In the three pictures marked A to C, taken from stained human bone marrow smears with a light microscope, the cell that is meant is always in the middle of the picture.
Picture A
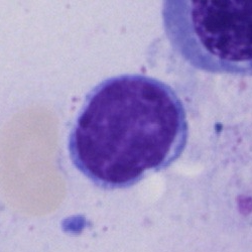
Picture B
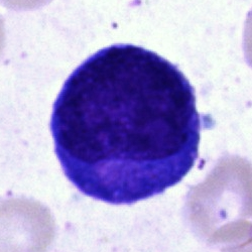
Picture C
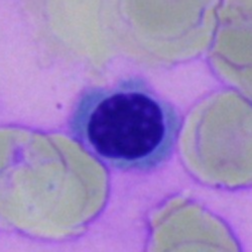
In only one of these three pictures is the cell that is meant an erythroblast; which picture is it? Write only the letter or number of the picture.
C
